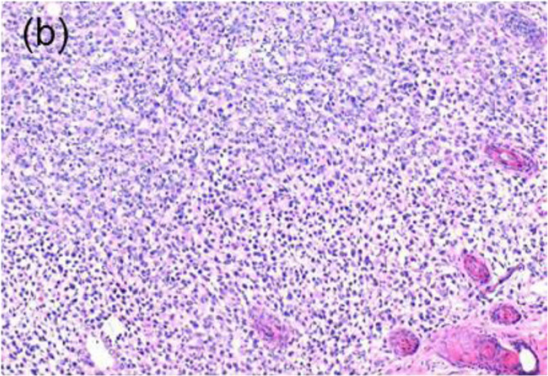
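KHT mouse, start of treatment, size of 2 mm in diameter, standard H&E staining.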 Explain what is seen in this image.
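Sarcoma tissue composed of densely packed cells with dark purple nuclei and pale pink cytoplasm, forming a diffuse cellular sheet. Nuclei vary from round to elongate. Toward the lower right edge, small vessels with pink walls and red blood cells lie among the tumour cells and in denser pink stroma. A few small clear spaces are scattered through the sheet. Cells appear intact overall, without large areas of cell loss.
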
